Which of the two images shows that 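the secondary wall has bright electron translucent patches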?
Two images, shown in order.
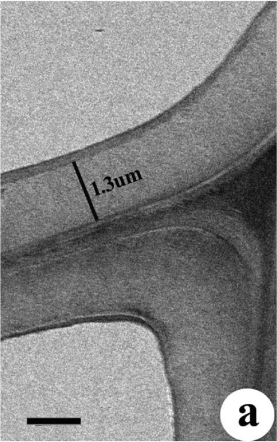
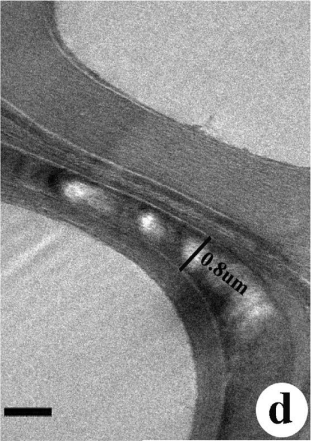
The second image.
